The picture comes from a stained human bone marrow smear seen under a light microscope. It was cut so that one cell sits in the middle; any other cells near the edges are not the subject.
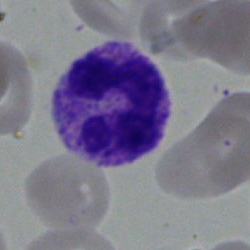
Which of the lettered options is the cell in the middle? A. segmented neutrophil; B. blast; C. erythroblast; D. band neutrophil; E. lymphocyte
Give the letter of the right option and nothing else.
A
